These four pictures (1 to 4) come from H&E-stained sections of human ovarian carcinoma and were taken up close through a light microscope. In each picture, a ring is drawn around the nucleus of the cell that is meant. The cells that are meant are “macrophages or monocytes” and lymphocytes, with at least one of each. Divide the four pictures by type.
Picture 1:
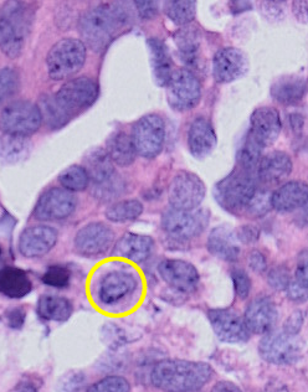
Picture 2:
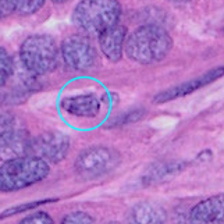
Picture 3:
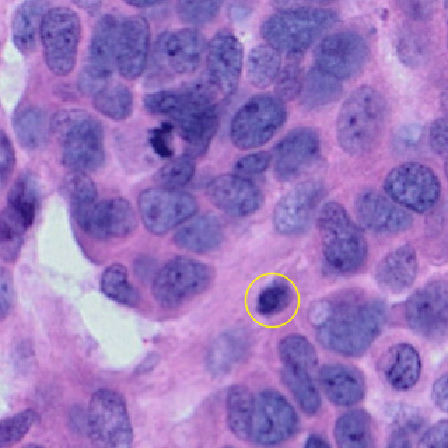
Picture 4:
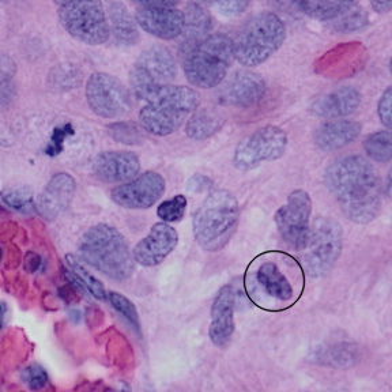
1: macrophage or monocyte
2: macrophage or monocyte
3: lymphocyte
4: lymphocyte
